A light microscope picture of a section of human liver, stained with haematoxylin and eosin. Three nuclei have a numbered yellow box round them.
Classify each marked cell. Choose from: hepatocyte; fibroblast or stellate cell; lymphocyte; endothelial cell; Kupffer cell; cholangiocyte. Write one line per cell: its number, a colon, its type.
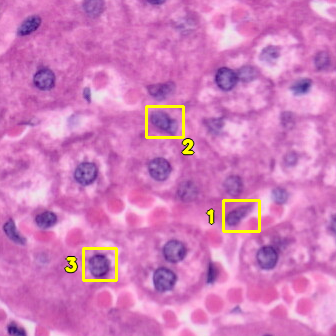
1: Kupffer cell
2: fibroblast or stellate cell
3: hepatocyte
